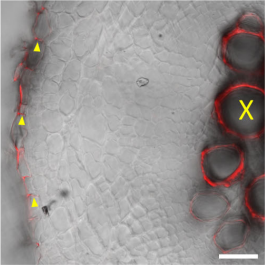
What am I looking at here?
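Between the margin and the vessels lies a broad zone of polygonal, thin-walled parenchyma cells that appear grey without red staining. On the right, several large round xylem vessels have thick walls outlined in bright red.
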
